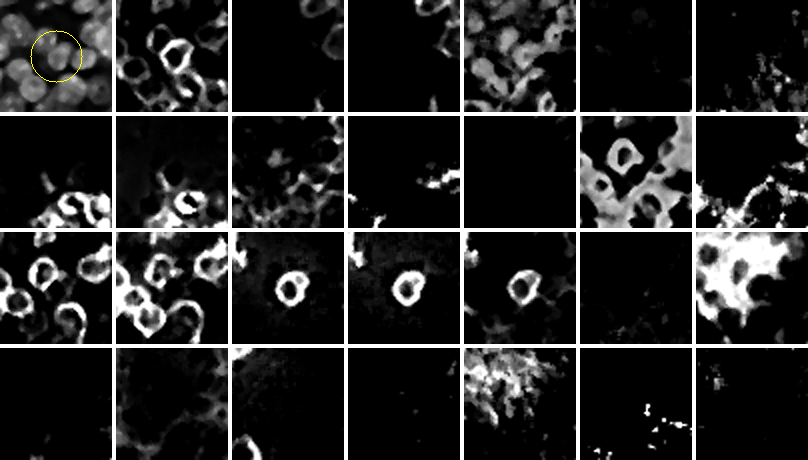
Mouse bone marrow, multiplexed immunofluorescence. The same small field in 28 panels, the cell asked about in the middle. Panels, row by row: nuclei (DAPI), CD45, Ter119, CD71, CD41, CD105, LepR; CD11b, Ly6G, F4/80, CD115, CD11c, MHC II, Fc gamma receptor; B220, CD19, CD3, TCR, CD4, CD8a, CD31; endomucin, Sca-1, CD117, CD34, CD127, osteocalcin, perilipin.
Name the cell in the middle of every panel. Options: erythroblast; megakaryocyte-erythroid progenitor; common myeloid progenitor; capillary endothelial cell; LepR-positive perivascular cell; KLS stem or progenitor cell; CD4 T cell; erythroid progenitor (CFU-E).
CD4 T cell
